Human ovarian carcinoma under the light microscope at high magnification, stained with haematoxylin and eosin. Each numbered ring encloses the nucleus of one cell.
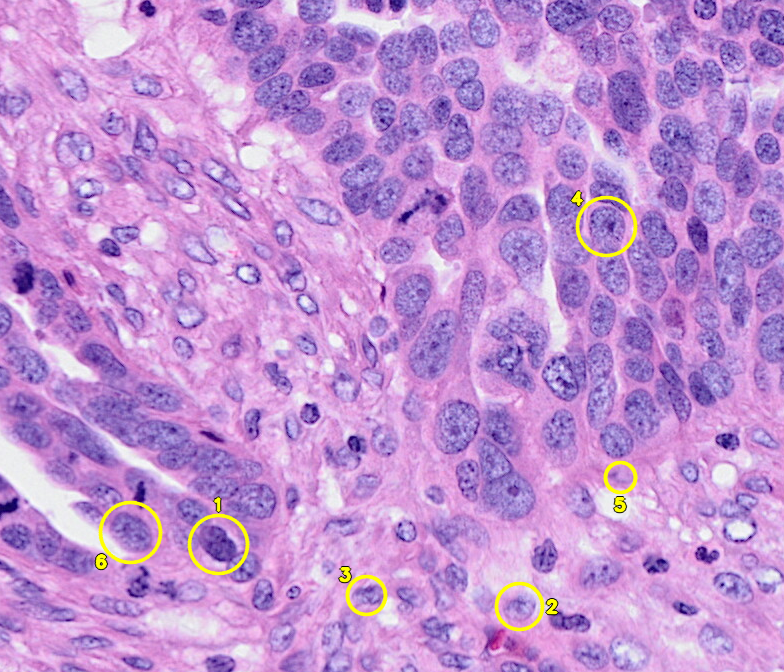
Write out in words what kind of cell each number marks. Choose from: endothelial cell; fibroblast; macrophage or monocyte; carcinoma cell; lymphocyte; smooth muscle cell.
Cell 1 is a carcinoma cell, cell 2 is a fibroblast, cell 3 is a fibroblast, cell 4 is a carcinoma cell, cell 5 is a fibroblast and cell 6 is a carcinoma cell.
